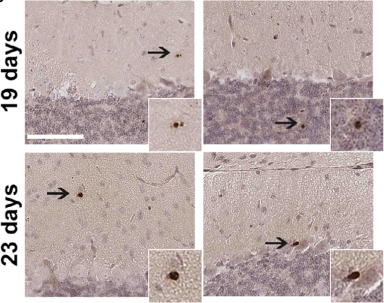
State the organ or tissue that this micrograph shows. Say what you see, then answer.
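A pale layer with scattered nuclei lies above a dense layer of small dark nuclei. Larger cell bodies line the boundary between the layers.
Cerebellum.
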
